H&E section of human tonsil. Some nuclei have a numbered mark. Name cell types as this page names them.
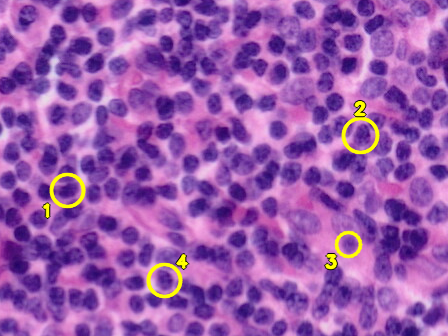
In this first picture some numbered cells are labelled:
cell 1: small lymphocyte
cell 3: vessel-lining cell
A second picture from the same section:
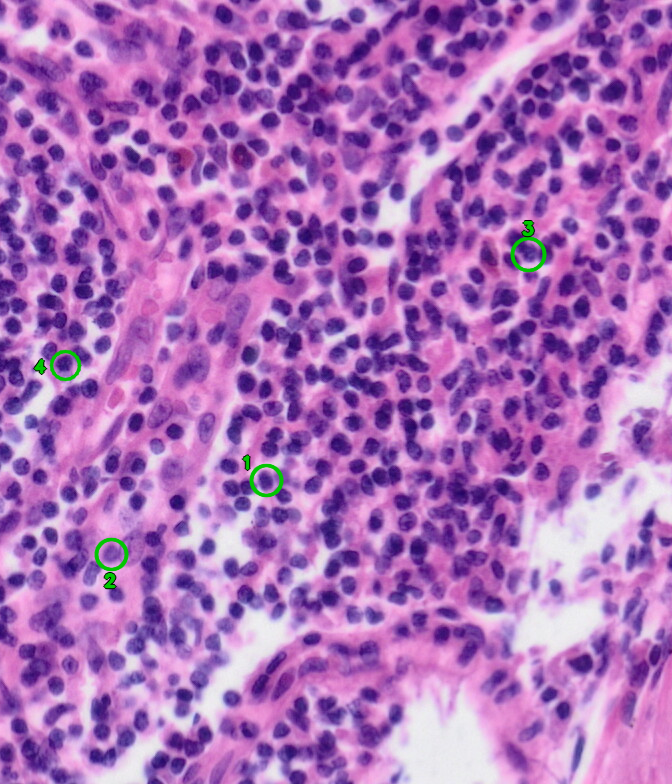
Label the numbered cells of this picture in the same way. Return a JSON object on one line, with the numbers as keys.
{"1": "small lymphocyte", "2": "vessel-lining cell", "3": "small lymphocyte", "4": "small lymphocyte"}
